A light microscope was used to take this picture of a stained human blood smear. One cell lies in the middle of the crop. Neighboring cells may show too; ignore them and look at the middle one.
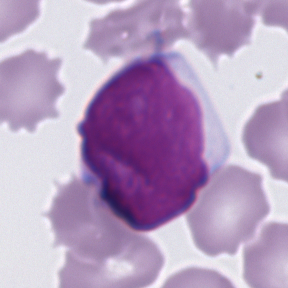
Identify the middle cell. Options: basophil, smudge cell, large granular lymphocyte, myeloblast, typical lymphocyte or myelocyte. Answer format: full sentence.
In the middle of this smear crop, the cell is a myeloblast.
